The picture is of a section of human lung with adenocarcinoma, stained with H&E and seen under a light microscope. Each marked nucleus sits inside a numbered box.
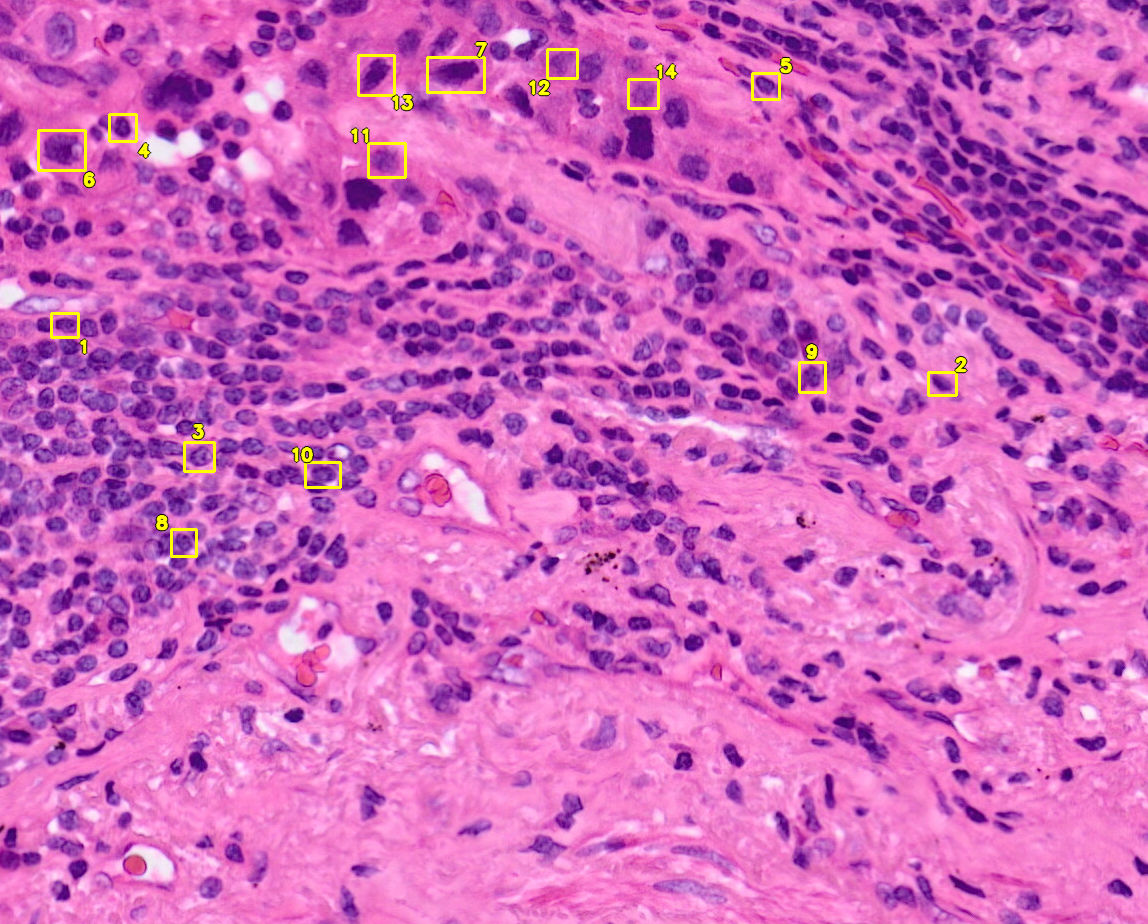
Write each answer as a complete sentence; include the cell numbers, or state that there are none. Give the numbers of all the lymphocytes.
The cells carrying labels 1, 2, 3, 4, 5, 8, 9 and 10 are lymphocytes.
